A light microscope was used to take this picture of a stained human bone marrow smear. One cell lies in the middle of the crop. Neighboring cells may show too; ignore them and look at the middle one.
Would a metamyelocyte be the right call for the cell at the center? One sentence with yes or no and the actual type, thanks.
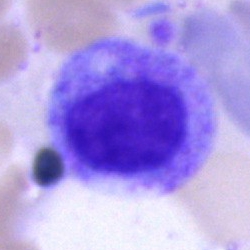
No, the central cell does not represent a metamyelocyte, but a myelocyte.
